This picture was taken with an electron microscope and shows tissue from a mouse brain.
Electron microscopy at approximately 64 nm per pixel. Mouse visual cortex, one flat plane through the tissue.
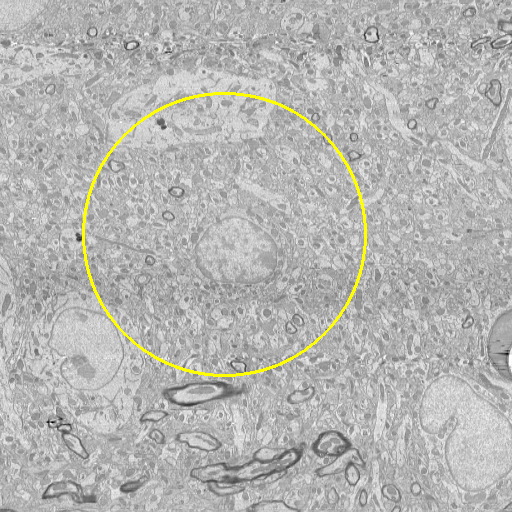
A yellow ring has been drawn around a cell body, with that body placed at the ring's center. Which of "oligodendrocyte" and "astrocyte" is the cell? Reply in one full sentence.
In this picture, an oligodendrocyte is the cell at the center of the yellow ring.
